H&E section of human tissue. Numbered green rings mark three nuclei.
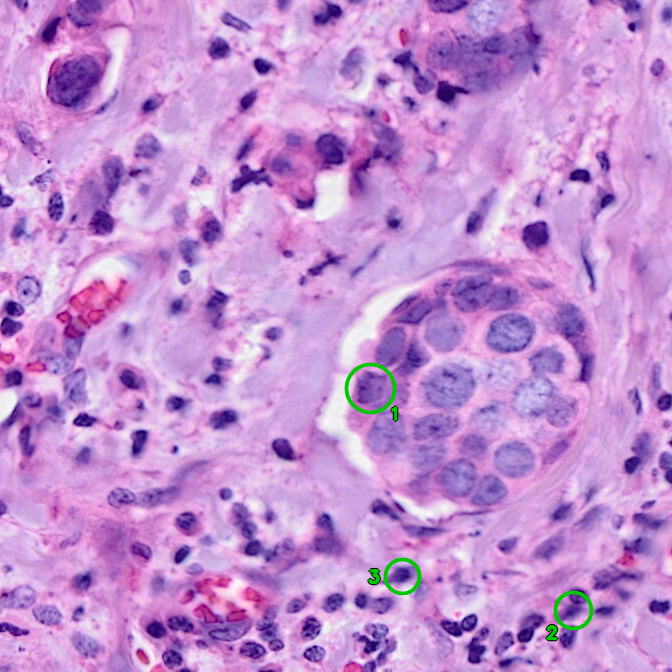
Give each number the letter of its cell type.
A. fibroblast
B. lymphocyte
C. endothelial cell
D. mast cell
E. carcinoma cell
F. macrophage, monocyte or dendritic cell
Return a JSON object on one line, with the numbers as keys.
{"1": "E", "2": "B", "3": "B"}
